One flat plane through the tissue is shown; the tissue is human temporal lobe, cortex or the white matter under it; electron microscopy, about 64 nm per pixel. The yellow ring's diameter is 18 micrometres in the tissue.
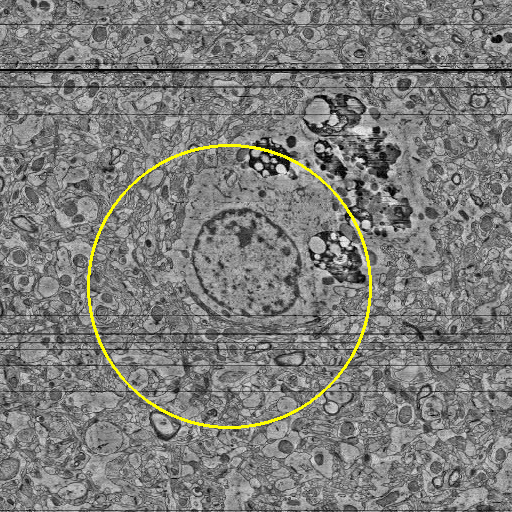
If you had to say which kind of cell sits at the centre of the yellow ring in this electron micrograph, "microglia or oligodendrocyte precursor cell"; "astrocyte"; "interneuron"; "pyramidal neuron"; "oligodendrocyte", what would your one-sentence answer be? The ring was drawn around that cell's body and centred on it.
The cell sitting at the centre of the ring is an astrocyte.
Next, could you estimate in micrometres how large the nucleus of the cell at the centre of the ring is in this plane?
The nucleus has a long axis of about 8 micrometres and a short axis of about 6 micrometres in this plane.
